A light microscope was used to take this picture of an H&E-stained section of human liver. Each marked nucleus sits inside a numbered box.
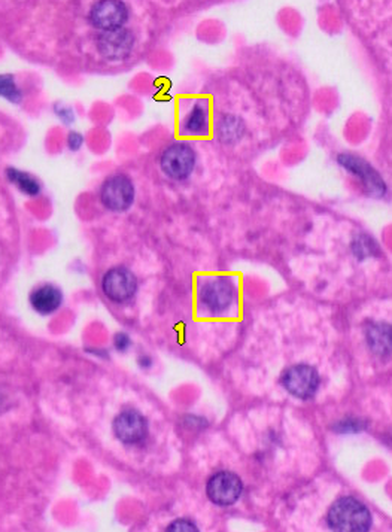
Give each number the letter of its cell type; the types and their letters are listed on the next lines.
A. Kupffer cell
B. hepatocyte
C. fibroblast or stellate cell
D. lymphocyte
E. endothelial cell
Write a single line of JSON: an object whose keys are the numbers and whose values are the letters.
{"1": "B", "2": "C"}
